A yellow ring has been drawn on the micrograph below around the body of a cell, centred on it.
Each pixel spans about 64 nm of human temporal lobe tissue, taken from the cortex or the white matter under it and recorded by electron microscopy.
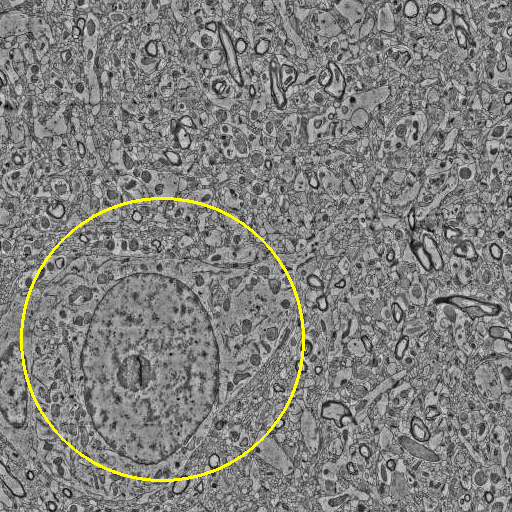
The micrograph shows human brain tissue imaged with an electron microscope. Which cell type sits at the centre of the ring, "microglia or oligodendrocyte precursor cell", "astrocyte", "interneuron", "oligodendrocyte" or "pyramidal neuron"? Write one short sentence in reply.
The cell sitting at the centre of the ring is an interneuron.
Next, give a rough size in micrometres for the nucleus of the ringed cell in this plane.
In this plane, the nucleus of the cell at the centre of the ring measures about 12 by 9 micrometres.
